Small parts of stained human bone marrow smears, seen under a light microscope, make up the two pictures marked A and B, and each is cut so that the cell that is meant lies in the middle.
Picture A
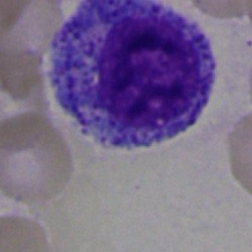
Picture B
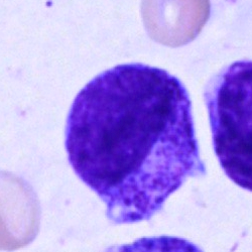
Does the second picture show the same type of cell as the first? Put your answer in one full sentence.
Yes, both are promyelocytes.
